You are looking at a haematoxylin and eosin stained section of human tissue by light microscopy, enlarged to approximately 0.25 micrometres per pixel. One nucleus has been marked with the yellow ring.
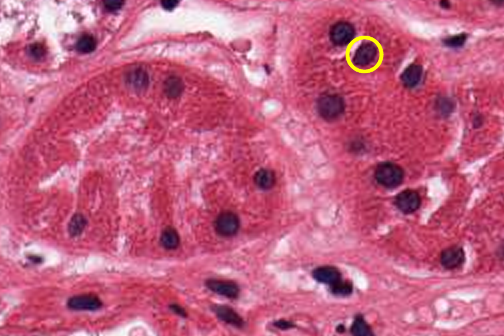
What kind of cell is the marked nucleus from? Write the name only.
proximal tubule cell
